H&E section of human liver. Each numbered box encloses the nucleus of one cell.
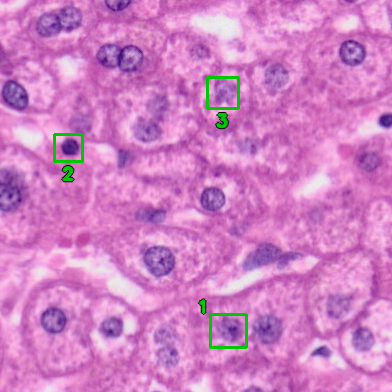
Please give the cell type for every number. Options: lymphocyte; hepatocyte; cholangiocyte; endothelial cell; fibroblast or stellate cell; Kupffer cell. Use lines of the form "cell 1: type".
cell 1: hepatocyte
cell 2: lymphocyte
cell 3: hepatocyte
